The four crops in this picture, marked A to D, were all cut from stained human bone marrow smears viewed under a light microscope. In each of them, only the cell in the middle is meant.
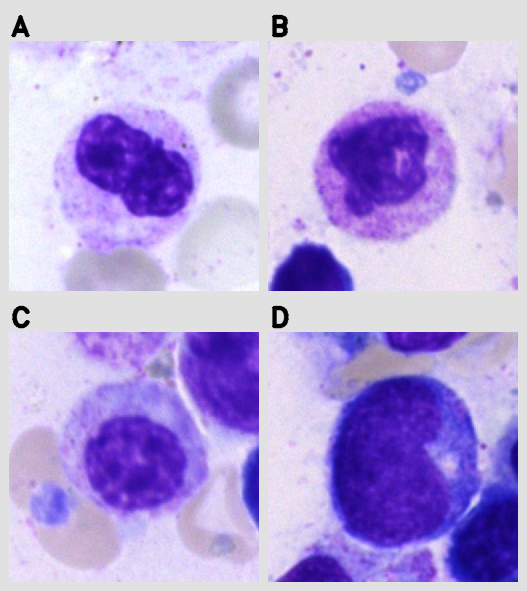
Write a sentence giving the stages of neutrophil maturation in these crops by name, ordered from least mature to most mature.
The crops, ordered from least to most mature, are crop D (a promyelocyte), crop C (a myelocyte), crop A (a band neutrophil) and crop B (a segmented neutrophil).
